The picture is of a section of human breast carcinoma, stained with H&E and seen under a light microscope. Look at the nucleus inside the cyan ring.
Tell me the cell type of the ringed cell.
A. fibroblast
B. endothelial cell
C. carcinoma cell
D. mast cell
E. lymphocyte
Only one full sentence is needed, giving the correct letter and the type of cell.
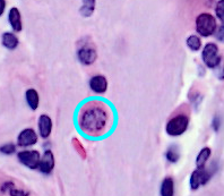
The accurate option is D, with the ringed cell being a mast cell.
